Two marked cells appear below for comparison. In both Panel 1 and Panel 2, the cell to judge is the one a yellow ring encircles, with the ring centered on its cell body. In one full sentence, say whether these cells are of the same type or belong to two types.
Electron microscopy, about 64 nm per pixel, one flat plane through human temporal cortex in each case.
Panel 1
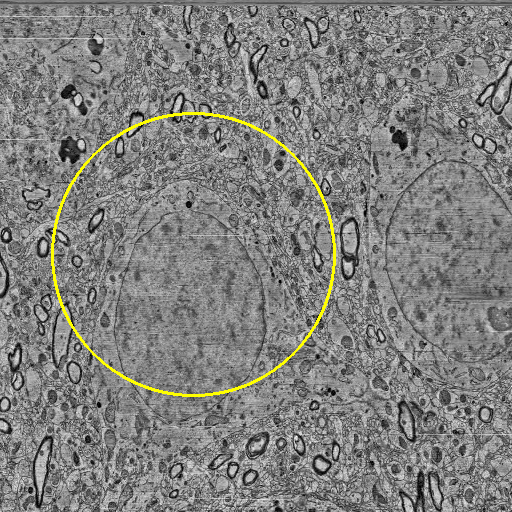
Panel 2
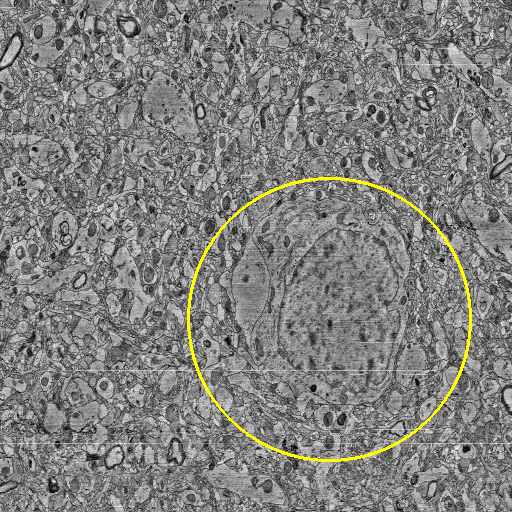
The cell centered in the Panel 1 ring and the one in Panel 2 belong to two types.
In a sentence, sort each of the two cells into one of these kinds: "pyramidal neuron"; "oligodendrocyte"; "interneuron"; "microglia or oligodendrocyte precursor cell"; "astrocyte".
The first of the two cells is a pyramidal neuron, and the second is an interneuron.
